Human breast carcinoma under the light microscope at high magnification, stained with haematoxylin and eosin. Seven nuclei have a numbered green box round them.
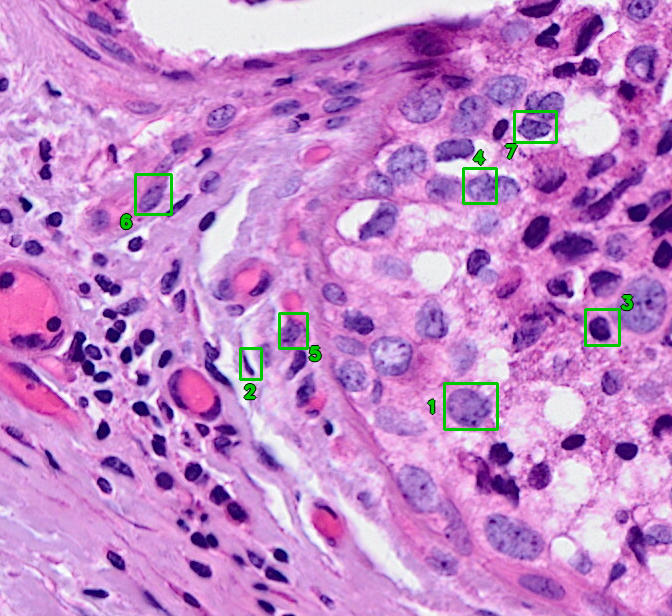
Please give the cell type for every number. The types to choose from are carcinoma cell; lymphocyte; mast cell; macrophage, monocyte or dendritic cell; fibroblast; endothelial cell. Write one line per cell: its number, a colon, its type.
1: carcinoma cell
2: fibroblast
3: carcinoma cell
4: carcinoma cell
5: endothelial cell
6: endothelial cell
7: carcinoma cell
